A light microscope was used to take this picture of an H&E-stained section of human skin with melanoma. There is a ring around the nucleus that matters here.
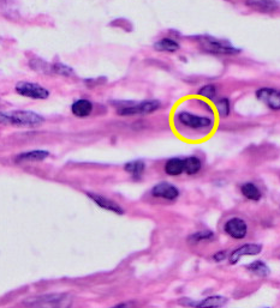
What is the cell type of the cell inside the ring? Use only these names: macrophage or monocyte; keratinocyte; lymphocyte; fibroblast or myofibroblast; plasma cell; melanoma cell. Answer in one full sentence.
At the level of cell identity, the cell inside the ring is a plasma cell.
